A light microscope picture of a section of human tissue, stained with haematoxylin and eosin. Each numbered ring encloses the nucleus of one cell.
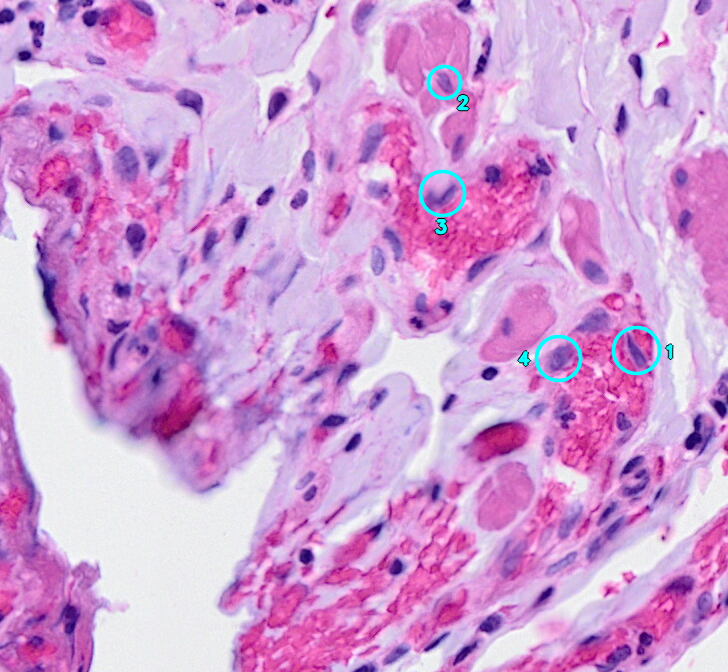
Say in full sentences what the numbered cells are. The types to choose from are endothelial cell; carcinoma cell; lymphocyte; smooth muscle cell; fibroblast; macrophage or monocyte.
Cells 1, 3 and 4 are endothelial cells. Cell 2 is a smooth muscle cell.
